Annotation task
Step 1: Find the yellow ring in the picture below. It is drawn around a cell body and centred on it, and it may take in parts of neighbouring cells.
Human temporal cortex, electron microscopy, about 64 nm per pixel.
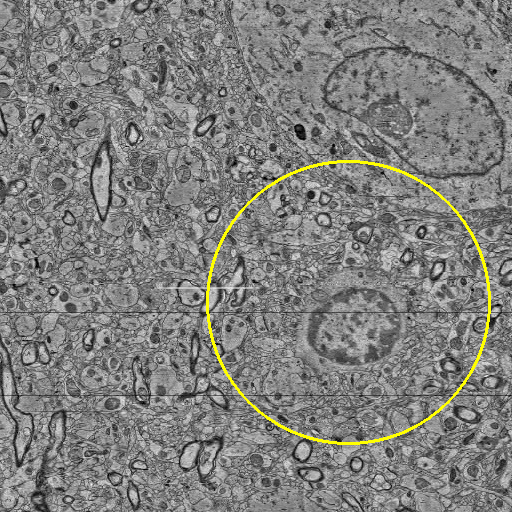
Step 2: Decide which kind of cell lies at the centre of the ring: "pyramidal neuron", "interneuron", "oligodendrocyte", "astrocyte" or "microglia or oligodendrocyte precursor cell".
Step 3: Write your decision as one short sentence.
The kind of cell at the ring's centre is an oligodendrocyte.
